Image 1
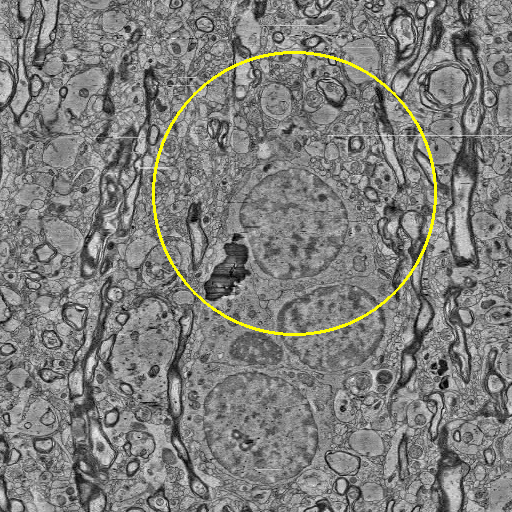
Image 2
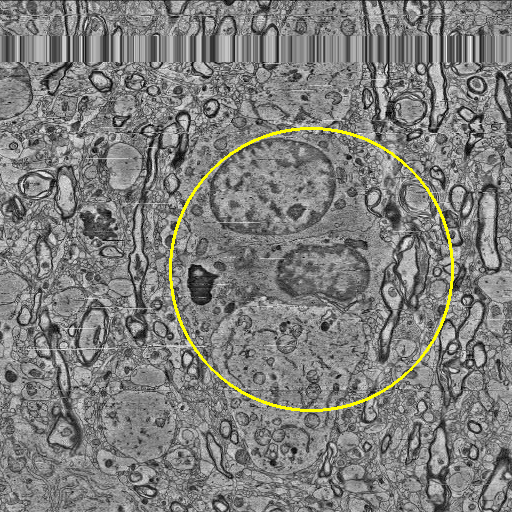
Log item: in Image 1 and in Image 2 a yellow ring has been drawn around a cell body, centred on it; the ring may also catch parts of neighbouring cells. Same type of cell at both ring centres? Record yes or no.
yes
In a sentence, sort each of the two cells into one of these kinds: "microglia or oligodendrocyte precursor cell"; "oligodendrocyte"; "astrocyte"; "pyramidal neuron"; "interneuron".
The cell in the first picture is an oligodendrocyte, and so is the one in the second.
